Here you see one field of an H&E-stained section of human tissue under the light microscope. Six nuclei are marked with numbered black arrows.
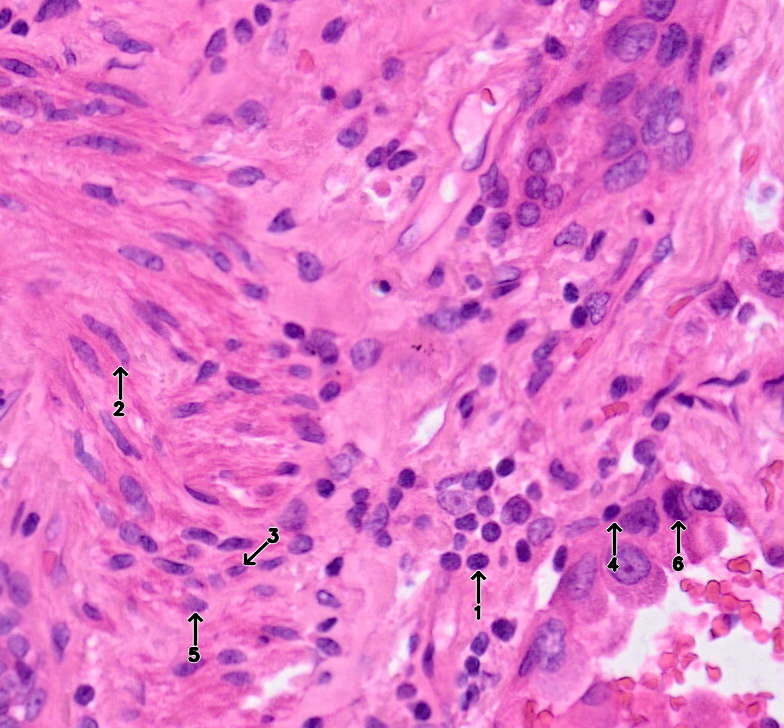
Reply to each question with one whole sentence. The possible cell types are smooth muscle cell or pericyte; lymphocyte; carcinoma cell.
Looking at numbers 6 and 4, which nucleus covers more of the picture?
Nucleus 6 is the larger one, covering about 4 times the area of nucleus 4.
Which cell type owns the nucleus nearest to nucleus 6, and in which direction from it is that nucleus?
Lying to the right of nucleus 6, the nearest nucleus is that of a carcinoma cell.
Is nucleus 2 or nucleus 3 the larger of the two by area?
Number 2 is larger; its area is about 2.5 times that of number 3.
